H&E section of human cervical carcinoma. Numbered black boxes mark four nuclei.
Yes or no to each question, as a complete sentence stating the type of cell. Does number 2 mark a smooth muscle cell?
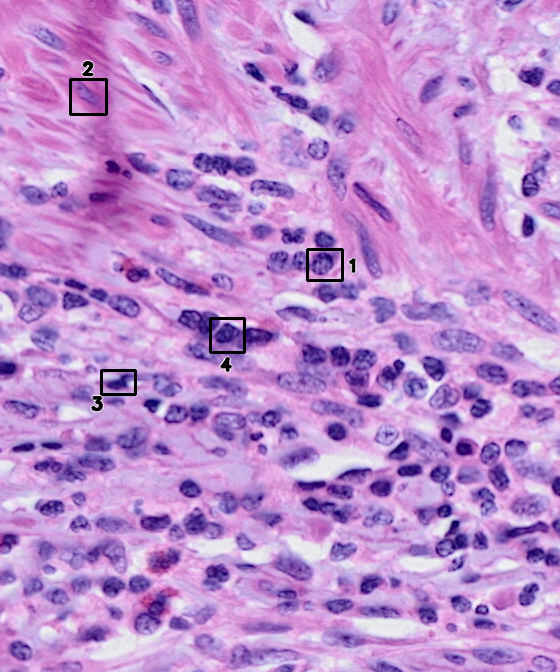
Yes, kindly take note: the cell numbered 2 is a smooth muscle cell.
